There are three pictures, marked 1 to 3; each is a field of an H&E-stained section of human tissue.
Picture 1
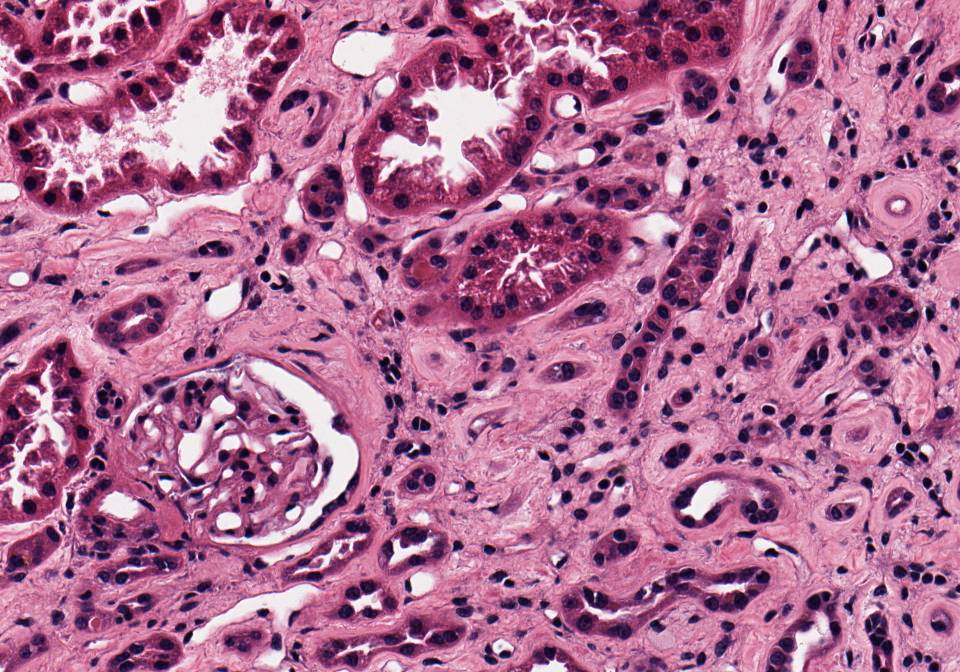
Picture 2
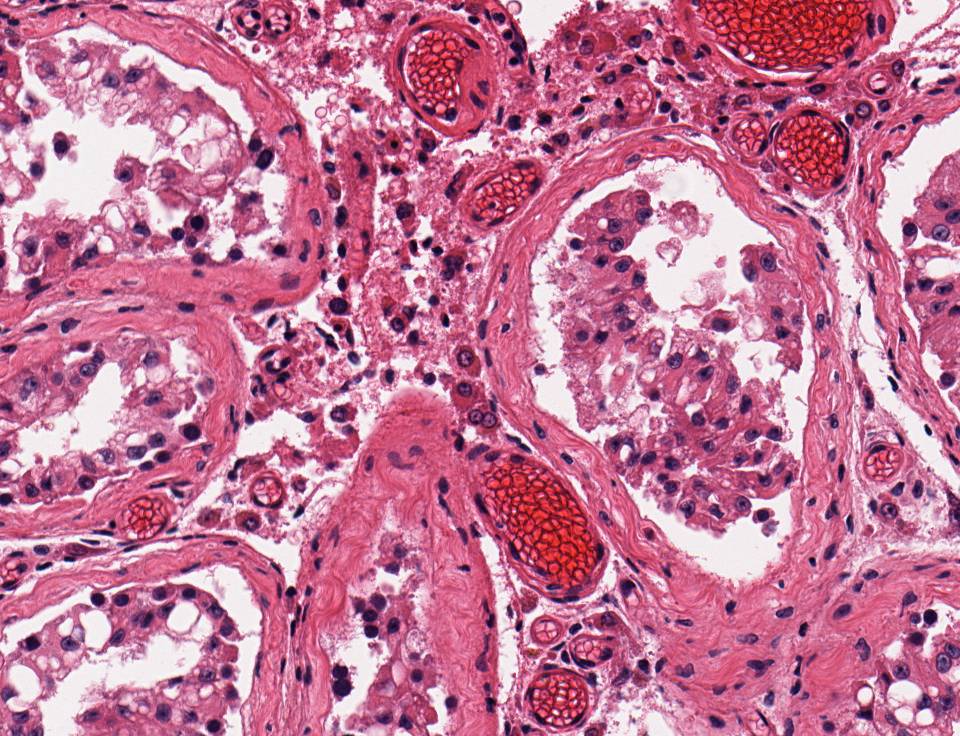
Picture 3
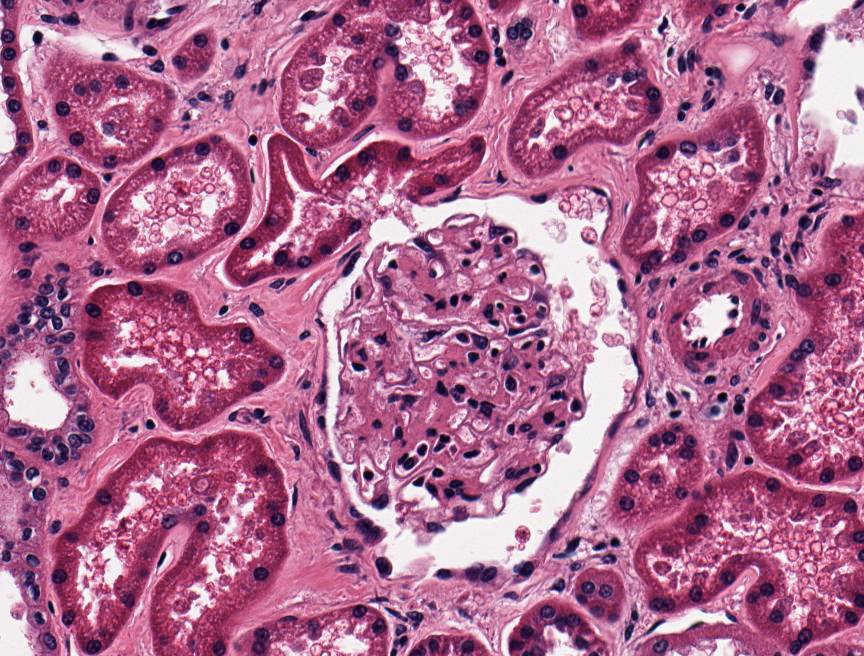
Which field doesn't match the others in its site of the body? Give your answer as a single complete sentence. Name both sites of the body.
All pictures except 2 come from the renal cortex; picture 2 comes from the testis.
